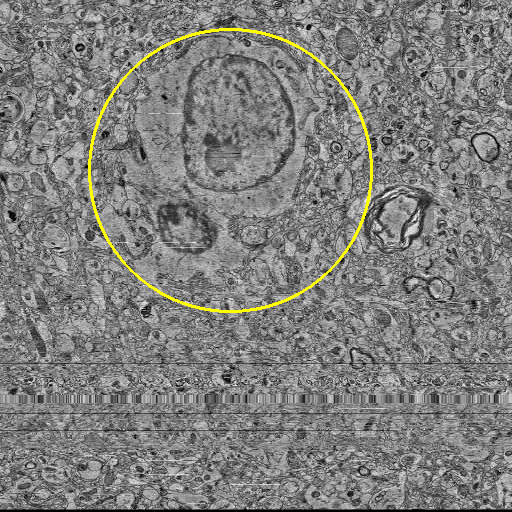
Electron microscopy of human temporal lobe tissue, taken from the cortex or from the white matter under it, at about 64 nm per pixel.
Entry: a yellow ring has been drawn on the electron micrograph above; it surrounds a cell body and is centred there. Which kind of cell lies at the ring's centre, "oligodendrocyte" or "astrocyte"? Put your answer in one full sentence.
The cell sitting at the ring's centre is an astrocyte in the micrograph above.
